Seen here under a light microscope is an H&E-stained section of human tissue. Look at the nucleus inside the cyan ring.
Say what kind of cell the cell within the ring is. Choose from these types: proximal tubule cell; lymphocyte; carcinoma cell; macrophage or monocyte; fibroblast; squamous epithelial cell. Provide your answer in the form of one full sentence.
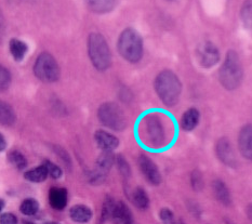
Right, so the cell within the ring is a squamous epithelial cell, to answer that.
